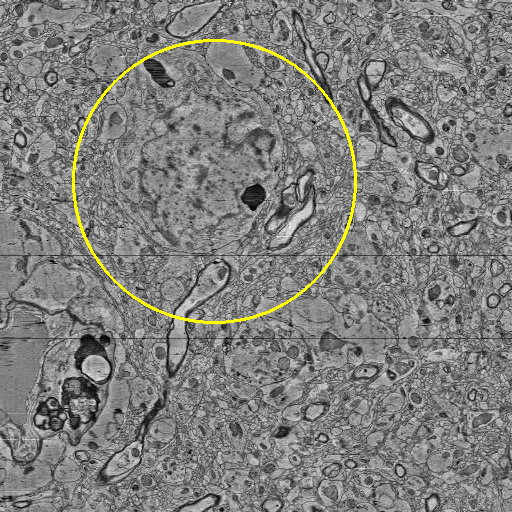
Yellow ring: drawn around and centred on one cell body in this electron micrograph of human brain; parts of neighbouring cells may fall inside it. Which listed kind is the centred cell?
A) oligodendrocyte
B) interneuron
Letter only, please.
B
